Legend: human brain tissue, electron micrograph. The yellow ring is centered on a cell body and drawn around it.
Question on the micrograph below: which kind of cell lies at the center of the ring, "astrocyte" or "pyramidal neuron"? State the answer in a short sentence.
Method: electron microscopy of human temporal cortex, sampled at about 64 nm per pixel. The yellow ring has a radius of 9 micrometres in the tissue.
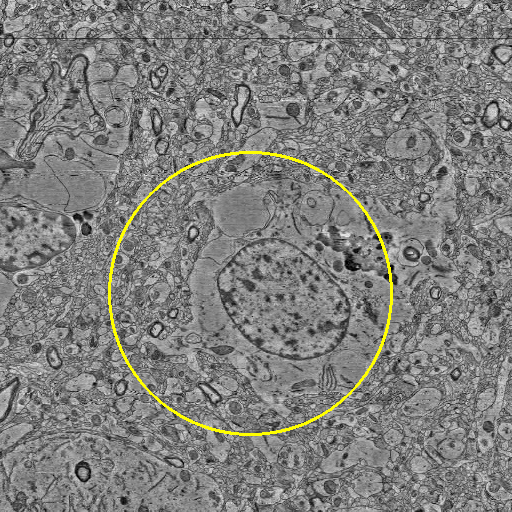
At the center of the ring lies an astrocyte.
